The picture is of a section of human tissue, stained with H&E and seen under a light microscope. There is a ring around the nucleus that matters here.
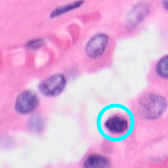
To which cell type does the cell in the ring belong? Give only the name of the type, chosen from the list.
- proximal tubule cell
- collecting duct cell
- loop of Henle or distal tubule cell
loop of Henle or distal tubule cell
